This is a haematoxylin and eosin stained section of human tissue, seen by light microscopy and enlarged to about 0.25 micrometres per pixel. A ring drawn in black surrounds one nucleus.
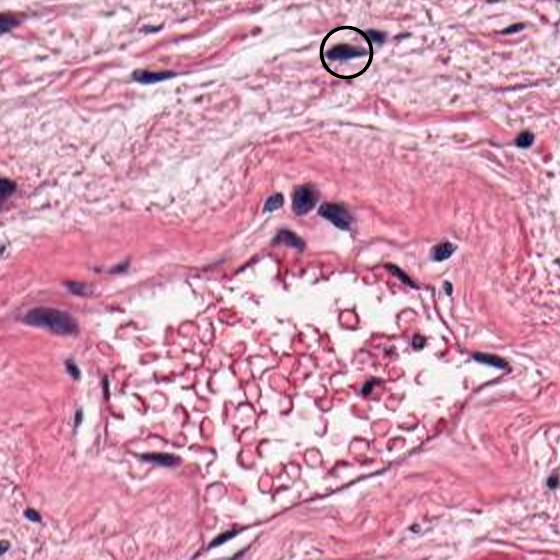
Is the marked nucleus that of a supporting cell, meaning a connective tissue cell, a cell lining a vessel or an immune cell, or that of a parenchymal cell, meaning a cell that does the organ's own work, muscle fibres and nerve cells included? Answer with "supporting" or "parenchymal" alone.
supporting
